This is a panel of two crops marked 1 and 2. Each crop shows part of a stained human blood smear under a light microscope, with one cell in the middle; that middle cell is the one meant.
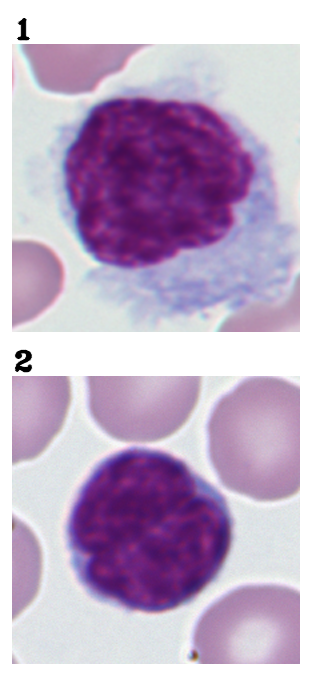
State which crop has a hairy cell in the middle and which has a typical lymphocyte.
1: hairy cell
2: typical lymphocyte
